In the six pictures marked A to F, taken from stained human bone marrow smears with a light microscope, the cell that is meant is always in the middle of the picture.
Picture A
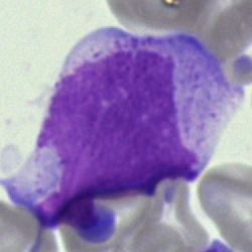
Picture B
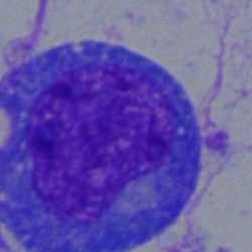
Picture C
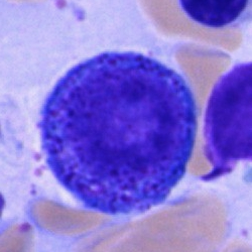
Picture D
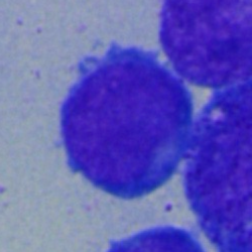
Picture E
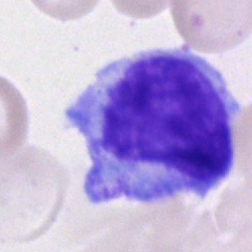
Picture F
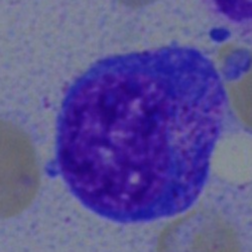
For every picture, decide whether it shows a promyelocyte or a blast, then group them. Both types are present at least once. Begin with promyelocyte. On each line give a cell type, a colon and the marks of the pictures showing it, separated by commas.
promyelocyte: C, E, F
blast: A, B, D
